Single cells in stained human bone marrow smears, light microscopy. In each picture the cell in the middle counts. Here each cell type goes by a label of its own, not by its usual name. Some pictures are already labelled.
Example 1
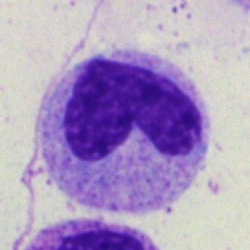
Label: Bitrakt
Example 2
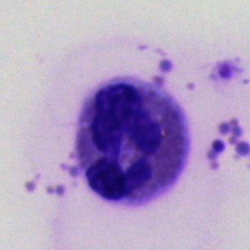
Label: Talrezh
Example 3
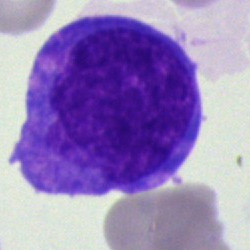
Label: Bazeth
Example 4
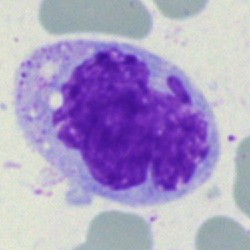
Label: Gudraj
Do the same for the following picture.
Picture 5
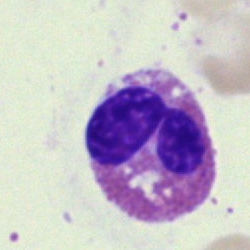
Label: Talrezh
